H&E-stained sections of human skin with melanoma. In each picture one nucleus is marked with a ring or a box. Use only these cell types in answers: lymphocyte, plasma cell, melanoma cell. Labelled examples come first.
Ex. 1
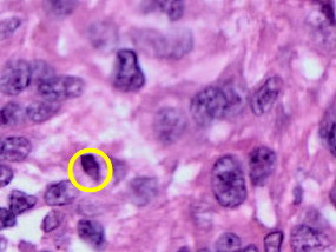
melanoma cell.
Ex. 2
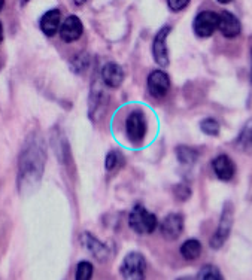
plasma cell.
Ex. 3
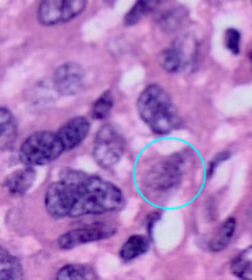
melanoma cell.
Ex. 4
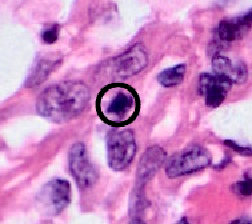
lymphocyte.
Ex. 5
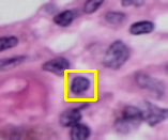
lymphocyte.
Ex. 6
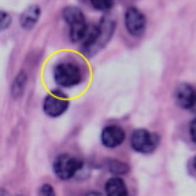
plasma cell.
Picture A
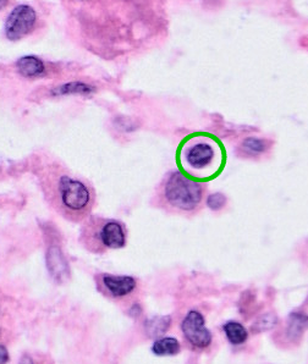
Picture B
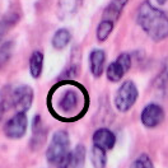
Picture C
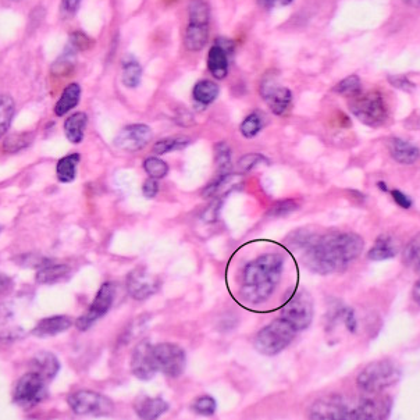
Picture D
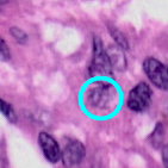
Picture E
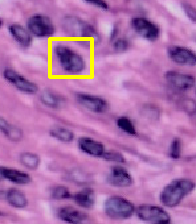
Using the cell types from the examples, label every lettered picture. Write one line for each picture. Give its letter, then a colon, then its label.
A: lymphocyte.
B: lymphocyte.
C: melanoma cell.
D: melanoma cell.
E: lymphocyte.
